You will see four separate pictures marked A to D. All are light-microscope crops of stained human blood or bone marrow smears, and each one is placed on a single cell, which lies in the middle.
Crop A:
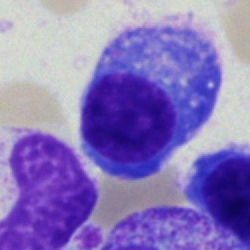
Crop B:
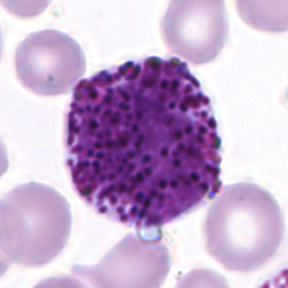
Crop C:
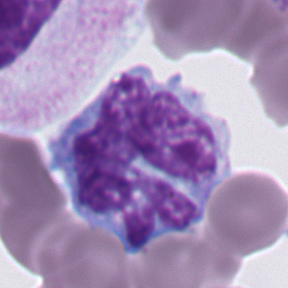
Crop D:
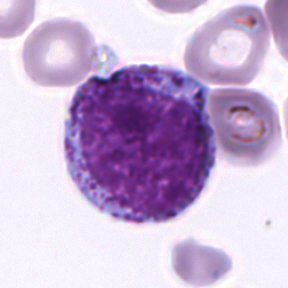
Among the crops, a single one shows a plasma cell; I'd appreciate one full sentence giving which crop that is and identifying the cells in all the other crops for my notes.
The cell of interest in crop A is a plasma cell, and crop B is a basophil, crop C is a monocyte and crop D is a promyelocyte.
